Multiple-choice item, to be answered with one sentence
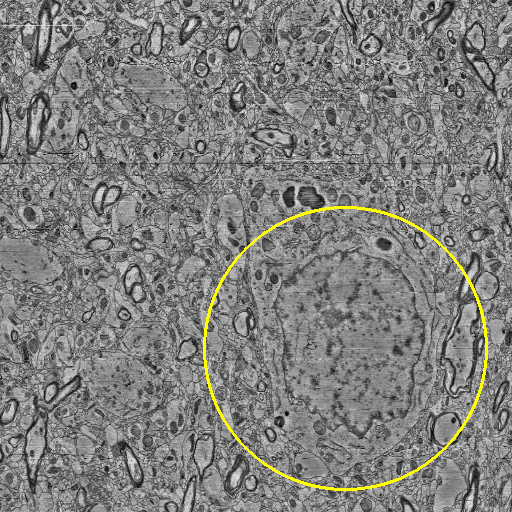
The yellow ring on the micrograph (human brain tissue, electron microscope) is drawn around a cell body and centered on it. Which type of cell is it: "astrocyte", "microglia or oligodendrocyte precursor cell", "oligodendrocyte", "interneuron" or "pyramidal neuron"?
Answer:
The ring is centered on an interneuron.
